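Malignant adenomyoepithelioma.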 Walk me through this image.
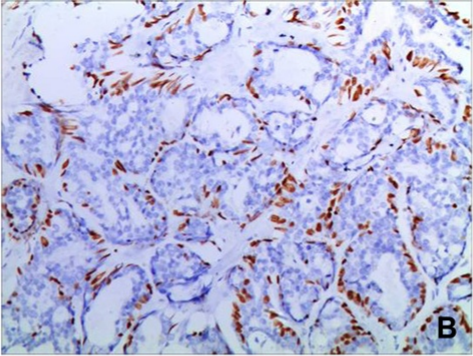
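This is a tumour made of rounded nests of cells with small gland-like spaces, separated by pale loose stroma. Along the outer rim of each nest lies a layer of cells with elongated, dark brown-stained nuclei. The brown rim cells are the myoepithelial cells that outline the nests, while the inner unstained cells are the epithelial component.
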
